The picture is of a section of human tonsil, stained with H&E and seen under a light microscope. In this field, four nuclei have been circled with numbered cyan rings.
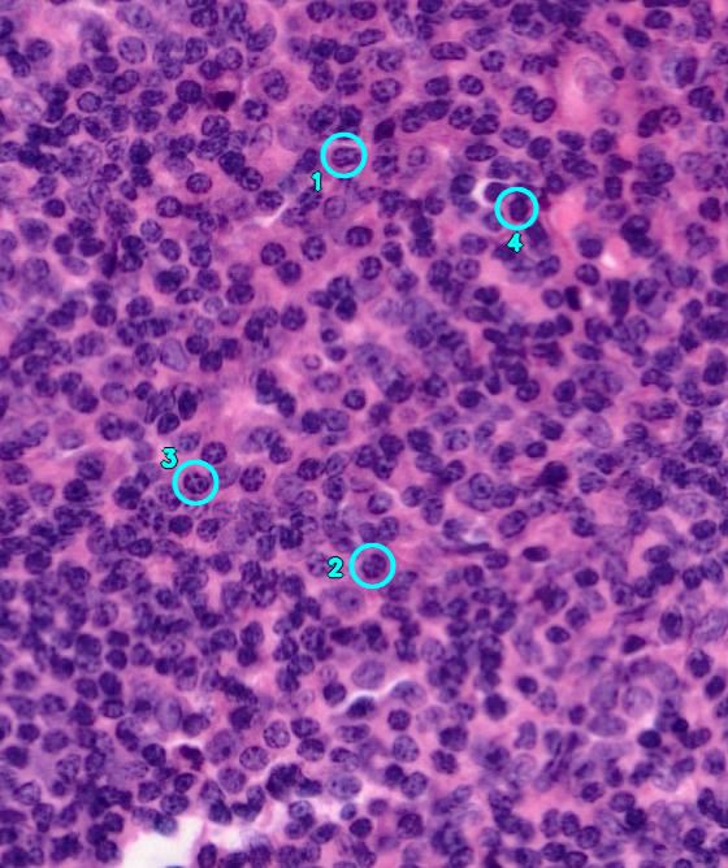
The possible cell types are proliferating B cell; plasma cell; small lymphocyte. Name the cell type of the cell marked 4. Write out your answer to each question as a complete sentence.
The cell pointed out as number 4 is a small lymphocyte.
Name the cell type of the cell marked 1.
Marked with the number 1, this cell is a plasma cell.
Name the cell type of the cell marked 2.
The nucleus with number 2 is that of a plasma cell.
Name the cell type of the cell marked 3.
The nucleus marked 3 is the nucleus of a plasma cell.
